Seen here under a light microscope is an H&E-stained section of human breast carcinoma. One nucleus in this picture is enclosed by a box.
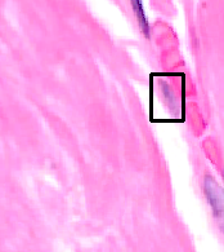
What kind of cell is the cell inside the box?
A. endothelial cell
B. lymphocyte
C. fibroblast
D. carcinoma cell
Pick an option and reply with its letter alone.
A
